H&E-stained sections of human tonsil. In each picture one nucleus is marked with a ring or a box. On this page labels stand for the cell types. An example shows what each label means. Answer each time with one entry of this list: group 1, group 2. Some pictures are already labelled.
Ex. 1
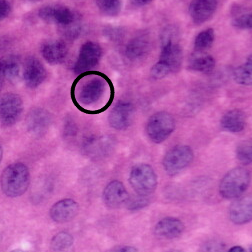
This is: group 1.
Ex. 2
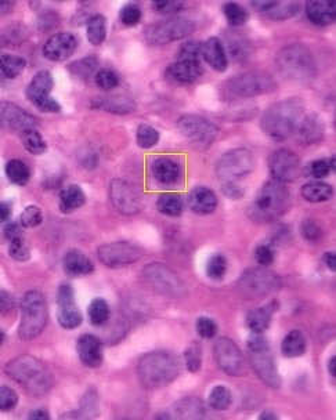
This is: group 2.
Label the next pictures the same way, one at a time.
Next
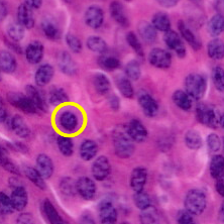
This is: group 2.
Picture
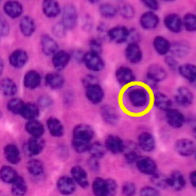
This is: group 2.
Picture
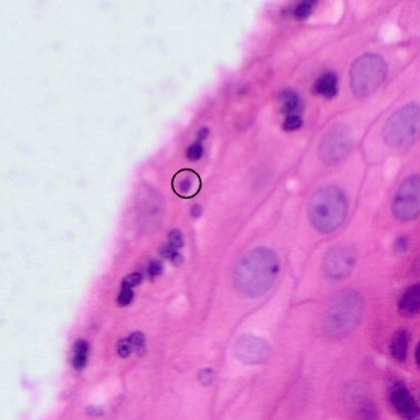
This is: group 1.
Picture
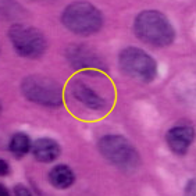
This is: group 1.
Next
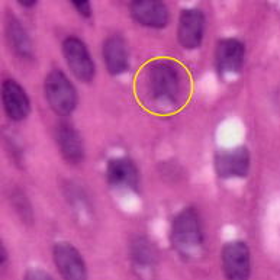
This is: group 1.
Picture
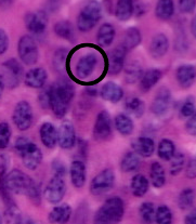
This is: group 2.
